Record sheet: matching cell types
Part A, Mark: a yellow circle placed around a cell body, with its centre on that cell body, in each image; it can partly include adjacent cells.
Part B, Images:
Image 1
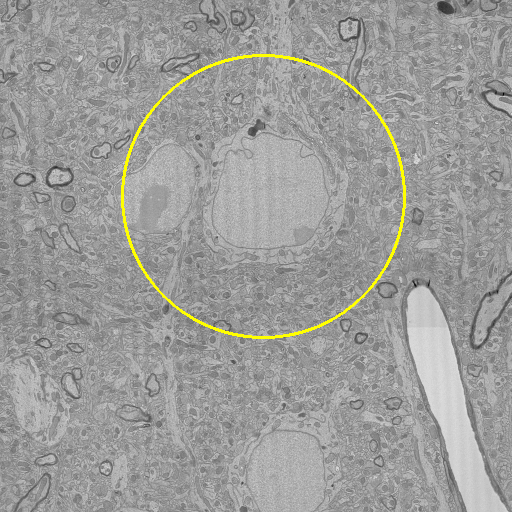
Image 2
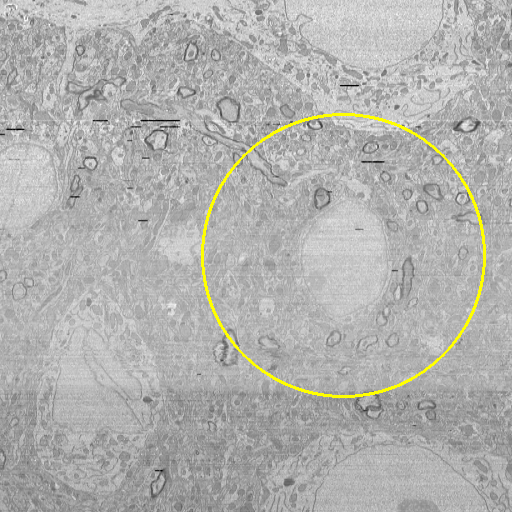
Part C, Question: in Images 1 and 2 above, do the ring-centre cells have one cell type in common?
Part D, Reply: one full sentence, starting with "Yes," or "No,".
No, the ring-centre cells of Image 1 and Image 2 are each of a separate cell type.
